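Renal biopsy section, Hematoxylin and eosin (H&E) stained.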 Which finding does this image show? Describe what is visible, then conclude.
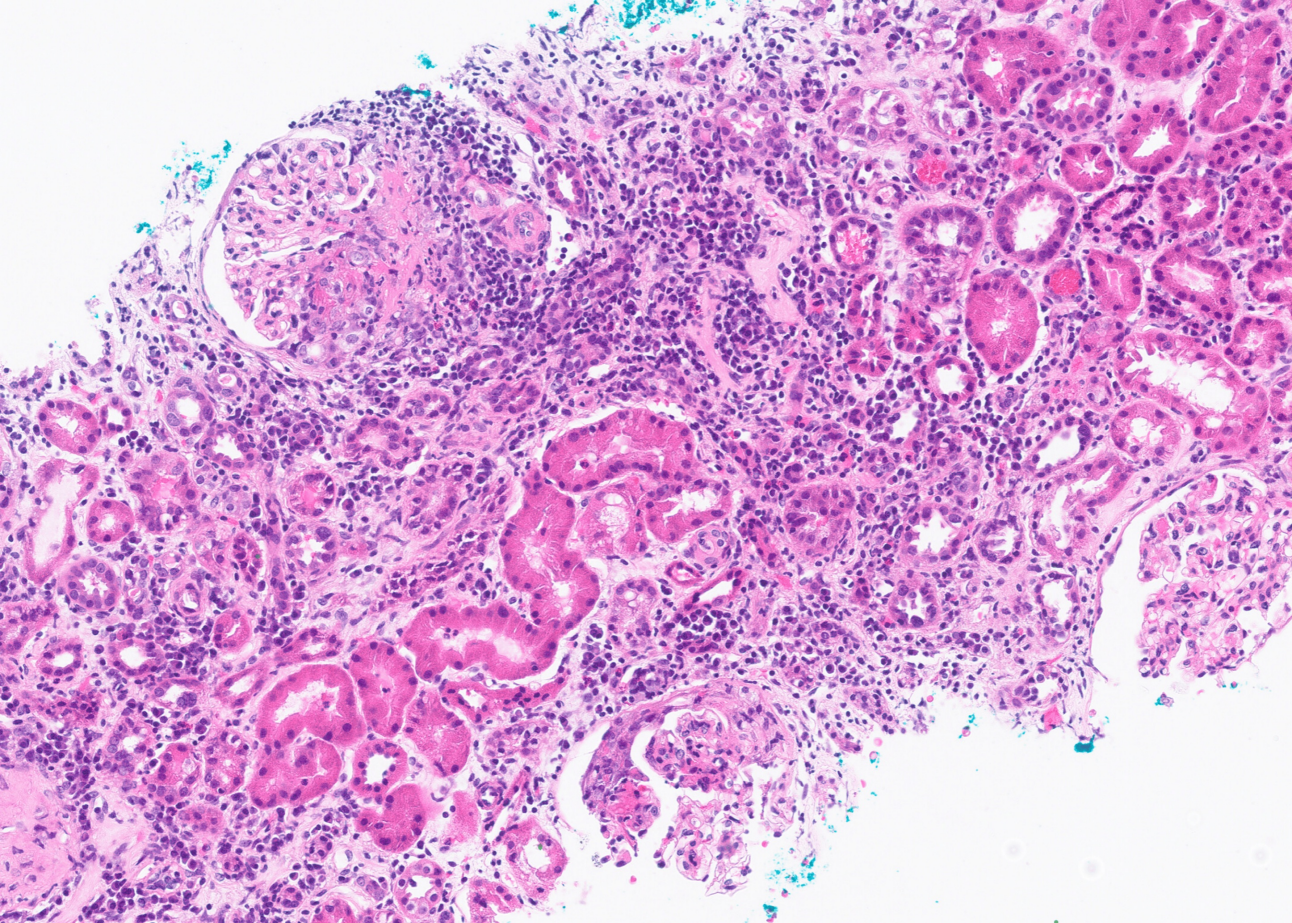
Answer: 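Prominent interstitial inflammatory infiltrate. Dense sheets of small dark round nuclei fill the spaces between tubules. The infiltrate is heaviest in the centre and upper middle of the section, separating and surrounding tubules.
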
